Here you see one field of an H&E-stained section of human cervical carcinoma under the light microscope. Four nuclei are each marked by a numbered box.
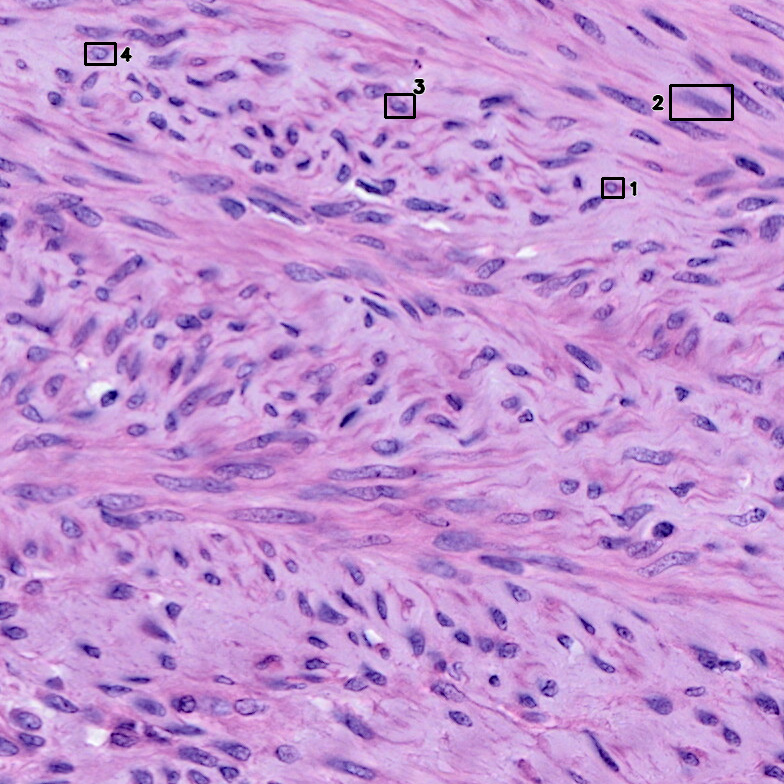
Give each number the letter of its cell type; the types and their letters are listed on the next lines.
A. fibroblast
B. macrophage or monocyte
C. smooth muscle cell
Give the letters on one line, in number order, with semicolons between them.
C; A; C; C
